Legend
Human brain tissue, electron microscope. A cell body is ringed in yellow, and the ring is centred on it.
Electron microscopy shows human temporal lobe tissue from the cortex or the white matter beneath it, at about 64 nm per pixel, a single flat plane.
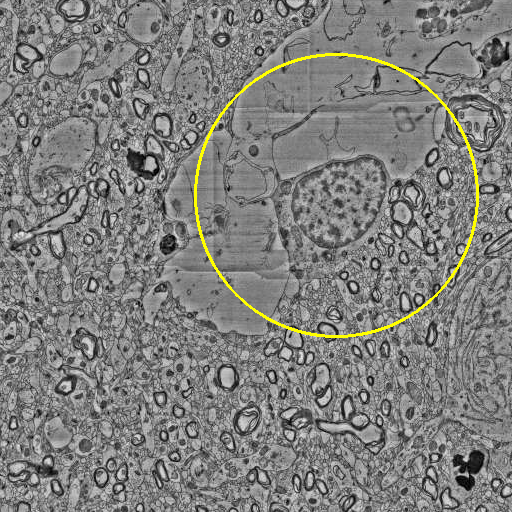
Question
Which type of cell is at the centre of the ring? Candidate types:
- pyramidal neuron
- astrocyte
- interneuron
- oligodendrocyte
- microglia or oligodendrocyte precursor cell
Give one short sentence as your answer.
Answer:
The yellow ring is centred here on an oligodendrocyte.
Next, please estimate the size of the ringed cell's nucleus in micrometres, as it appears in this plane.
The ringed cell's nucleus is about 6 micrometres long and 5 micrometres wide in this plane.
